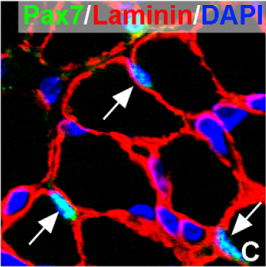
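This is skeletal muscle in cross-section, showing muscle fibers outlined in red with blue nuclei, a few of which are satellite cells. Each fiber appears as a dark polygonal profile bounded by a bright red band. Blue, flattened nuclei lie along the fiber edges at the red outlines. Three nuclei marked by arrows also glow green; they are small, elongated, and sit at the very rim of a fiber, wedged against the red boundary. Other blue nuclei without green lie in the spaces between fibers. The interiors of the fibers contain no nuclei.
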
